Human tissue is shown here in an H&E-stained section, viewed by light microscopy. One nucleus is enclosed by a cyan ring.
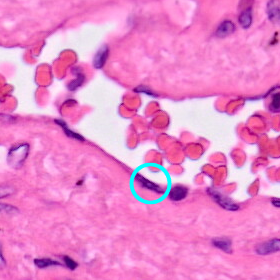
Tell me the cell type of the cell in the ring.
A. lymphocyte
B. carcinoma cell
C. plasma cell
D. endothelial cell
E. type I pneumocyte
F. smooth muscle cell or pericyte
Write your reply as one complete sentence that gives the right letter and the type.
In this item, the cell in the ring is an endothelial cell, and option D is right.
